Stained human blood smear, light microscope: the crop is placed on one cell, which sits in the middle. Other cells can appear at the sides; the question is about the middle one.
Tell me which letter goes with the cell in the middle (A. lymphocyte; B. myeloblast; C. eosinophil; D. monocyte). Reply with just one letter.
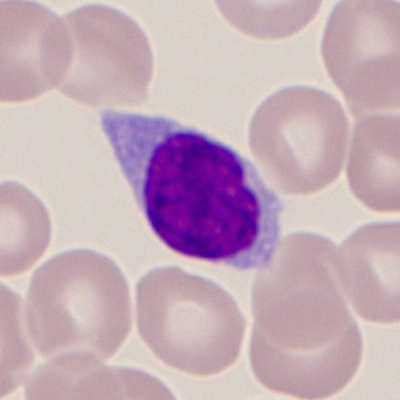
A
